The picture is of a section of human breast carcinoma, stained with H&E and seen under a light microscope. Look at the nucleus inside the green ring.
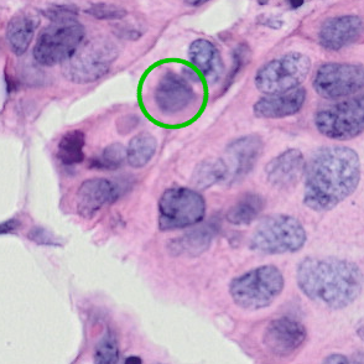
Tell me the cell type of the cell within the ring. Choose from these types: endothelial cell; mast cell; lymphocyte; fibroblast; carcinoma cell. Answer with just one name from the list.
carcinoma cell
